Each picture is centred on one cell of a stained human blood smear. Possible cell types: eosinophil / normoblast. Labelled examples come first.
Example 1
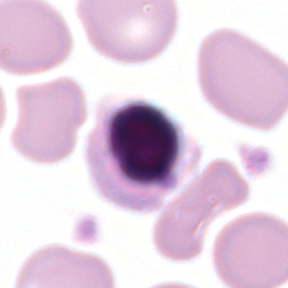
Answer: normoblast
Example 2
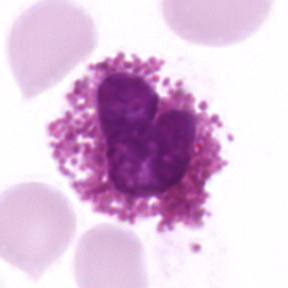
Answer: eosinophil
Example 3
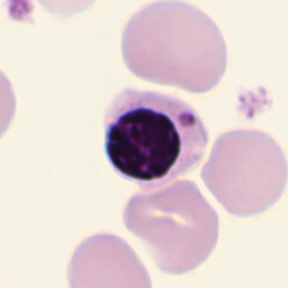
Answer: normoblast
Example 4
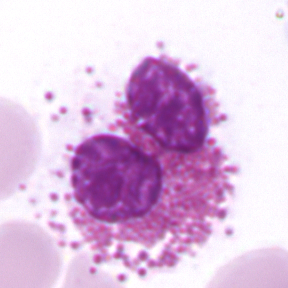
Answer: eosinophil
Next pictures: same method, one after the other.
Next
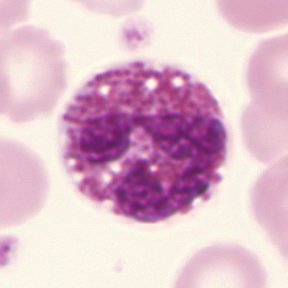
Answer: eosinophil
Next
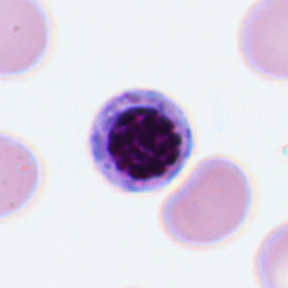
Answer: normoblast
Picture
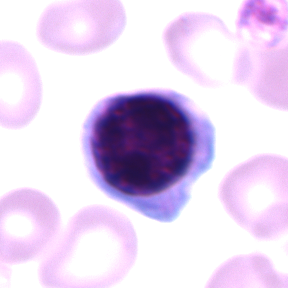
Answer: normoblast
